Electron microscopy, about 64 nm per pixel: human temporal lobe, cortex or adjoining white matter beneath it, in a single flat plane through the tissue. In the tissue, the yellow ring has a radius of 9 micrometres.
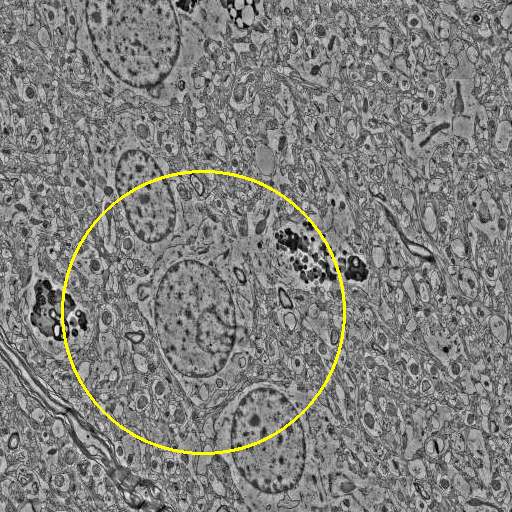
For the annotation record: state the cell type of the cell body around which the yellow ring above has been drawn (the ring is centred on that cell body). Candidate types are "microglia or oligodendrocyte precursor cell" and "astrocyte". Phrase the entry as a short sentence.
The ringed cell is an astrocyte.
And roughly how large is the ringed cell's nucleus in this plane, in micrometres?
In this plane, about 7 micrometres in length and 6 in width.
